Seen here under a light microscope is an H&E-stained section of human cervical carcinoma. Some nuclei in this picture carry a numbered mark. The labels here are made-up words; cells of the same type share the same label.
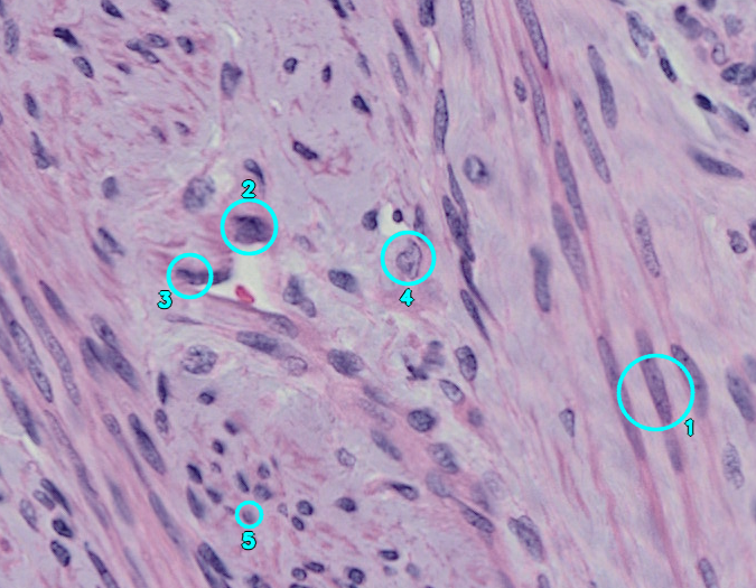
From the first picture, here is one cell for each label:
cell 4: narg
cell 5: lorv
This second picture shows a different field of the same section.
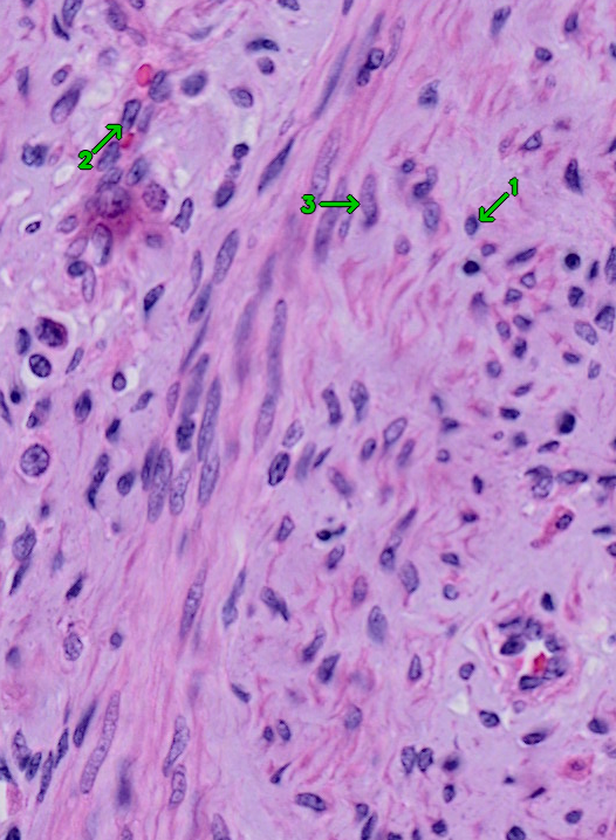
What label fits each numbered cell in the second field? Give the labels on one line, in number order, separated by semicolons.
lorv; narg; lorv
